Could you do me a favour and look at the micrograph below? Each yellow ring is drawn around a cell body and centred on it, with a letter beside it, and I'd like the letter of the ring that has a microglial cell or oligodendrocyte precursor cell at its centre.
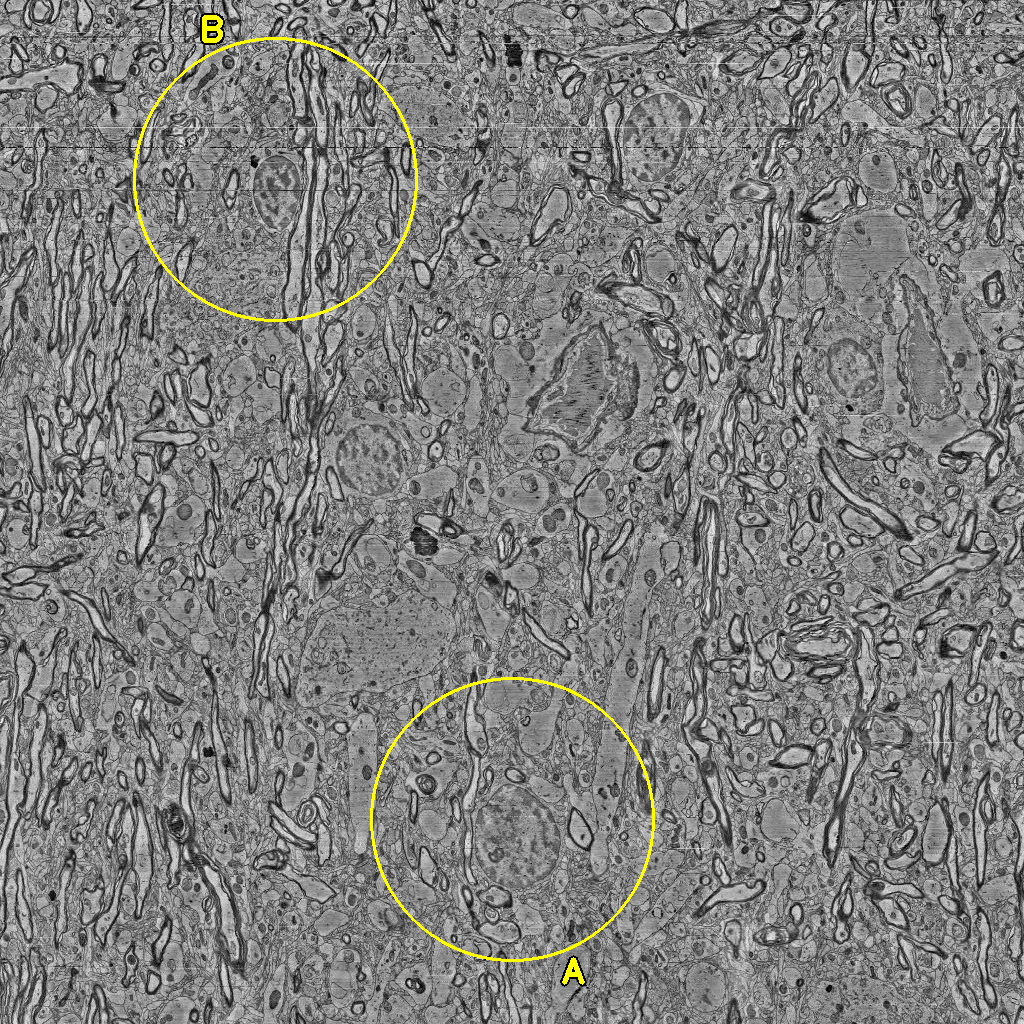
B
